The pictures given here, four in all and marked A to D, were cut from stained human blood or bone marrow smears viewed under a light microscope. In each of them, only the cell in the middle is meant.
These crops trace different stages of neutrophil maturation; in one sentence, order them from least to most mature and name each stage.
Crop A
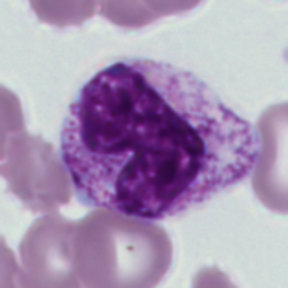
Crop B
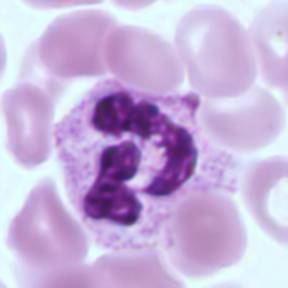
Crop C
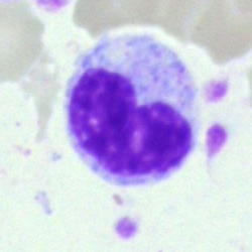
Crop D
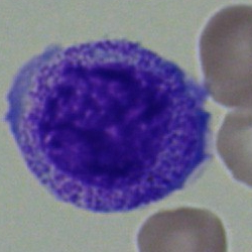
The progression from least to most mature runs crop D (a promyelocyte), crop C (a metamyelocyte), crop A (a band neutrophil) and crop B (a segmented neutrophil).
